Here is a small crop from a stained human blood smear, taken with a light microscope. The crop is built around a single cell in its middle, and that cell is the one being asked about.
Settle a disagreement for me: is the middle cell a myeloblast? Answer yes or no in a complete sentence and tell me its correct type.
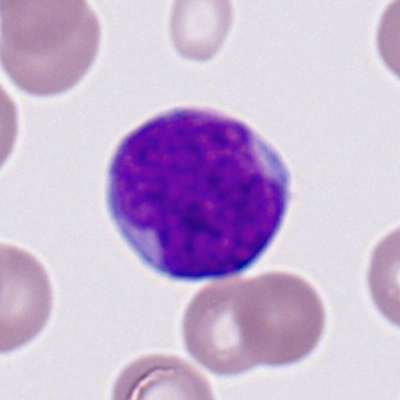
Yes, the cell lying in the middle is a myeloblast.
